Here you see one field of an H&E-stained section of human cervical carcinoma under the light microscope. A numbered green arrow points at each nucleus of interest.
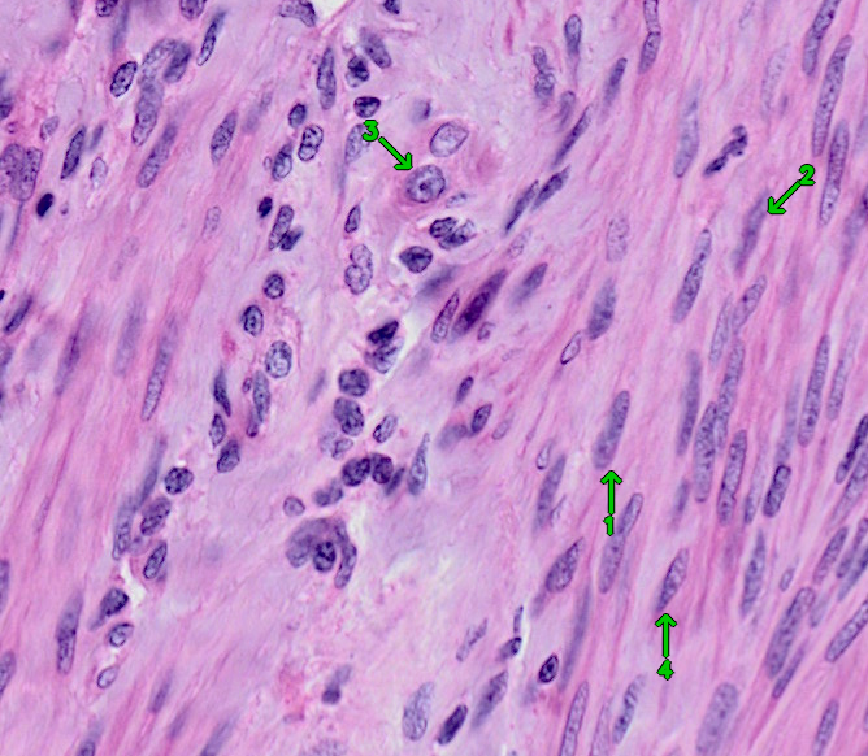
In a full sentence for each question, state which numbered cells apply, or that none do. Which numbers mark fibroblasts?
The numbered cells are entirely free of fibroblasts.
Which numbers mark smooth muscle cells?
Regarding the numbered cells 1, 2 and 4, these are smooth muscle cells.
